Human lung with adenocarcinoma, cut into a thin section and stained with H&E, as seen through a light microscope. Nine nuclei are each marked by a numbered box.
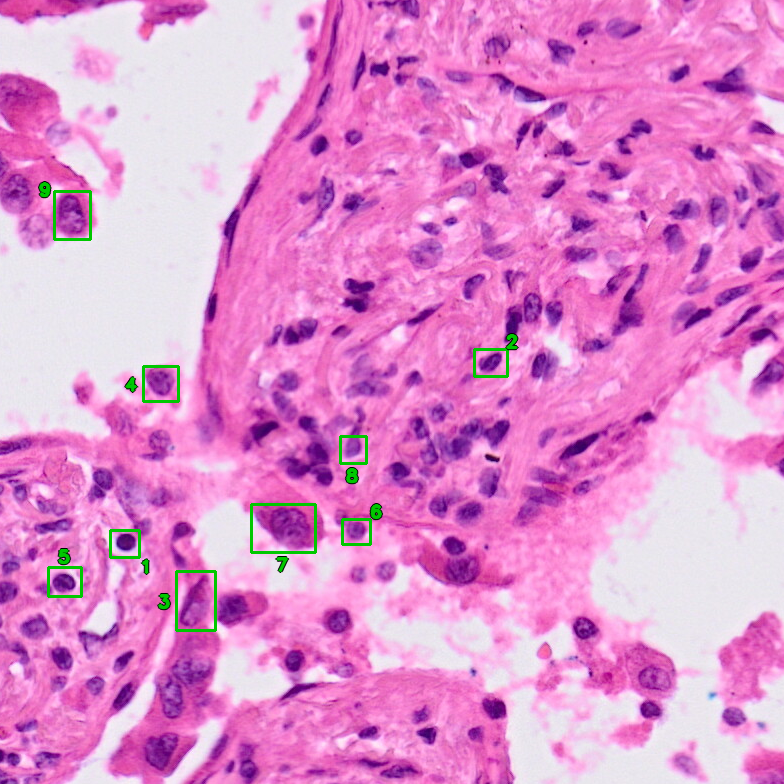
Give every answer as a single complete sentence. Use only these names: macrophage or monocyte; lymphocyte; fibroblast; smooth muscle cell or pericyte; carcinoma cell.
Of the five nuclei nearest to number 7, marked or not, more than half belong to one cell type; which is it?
Lymphocytes account for more than half of the five nuclei nearest to number 7.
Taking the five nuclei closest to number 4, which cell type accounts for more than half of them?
Around number 4, most of the five nearest nuclei are those of fibroblasts.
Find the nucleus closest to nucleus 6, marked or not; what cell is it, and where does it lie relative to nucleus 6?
The nearest one is a lymphocyte, found above and to the left of nucleus 6.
